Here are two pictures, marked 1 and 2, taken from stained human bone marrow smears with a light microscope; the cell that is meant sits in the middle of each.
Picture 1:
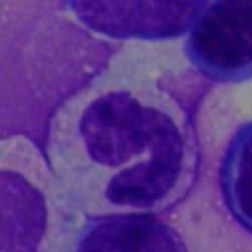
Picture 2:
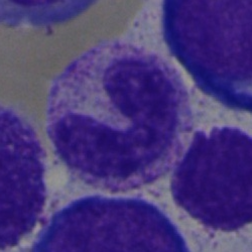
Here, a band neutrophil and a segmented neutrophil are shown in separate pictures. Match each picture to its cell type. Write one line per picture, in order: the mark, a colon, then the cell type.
1: segmented neutrophil
2: band neutrophil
